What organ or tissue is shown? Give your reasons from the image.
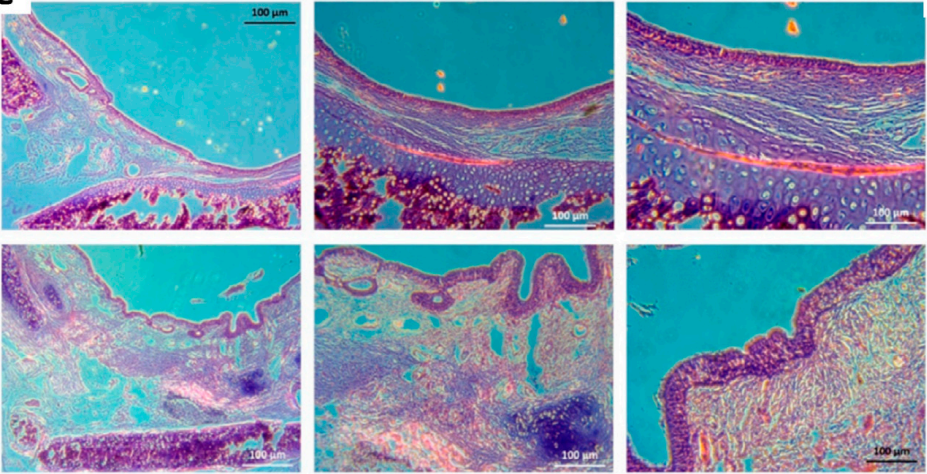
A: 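Trachea. A lining of purple-stained epithelium faces an empty lumen. Beneath the lining lies fibrous connective tissue. Deeper lies a plate of cartilage with rounded cells in lacunae.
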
